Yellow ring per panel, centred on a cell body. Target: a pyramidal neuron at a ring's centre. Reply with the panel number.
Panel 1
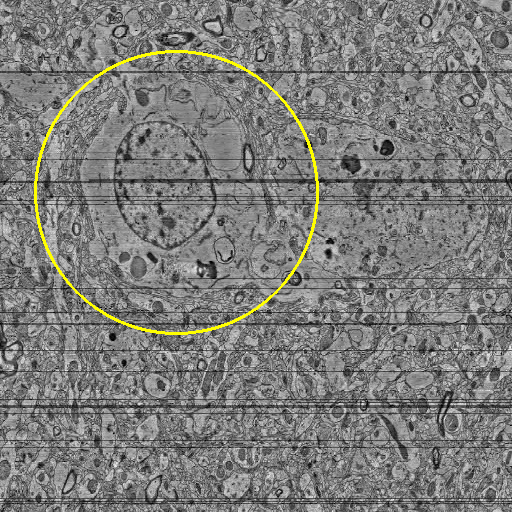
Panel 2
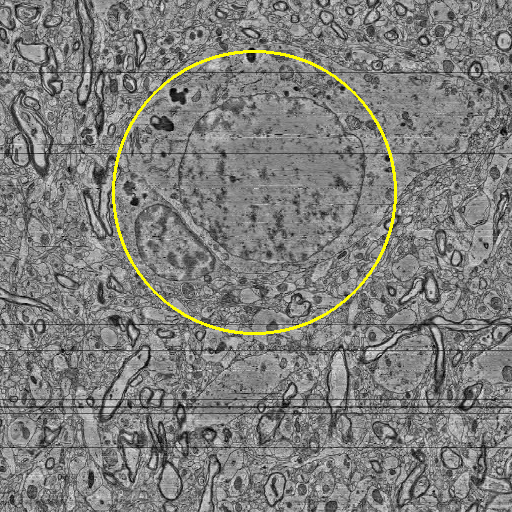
2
